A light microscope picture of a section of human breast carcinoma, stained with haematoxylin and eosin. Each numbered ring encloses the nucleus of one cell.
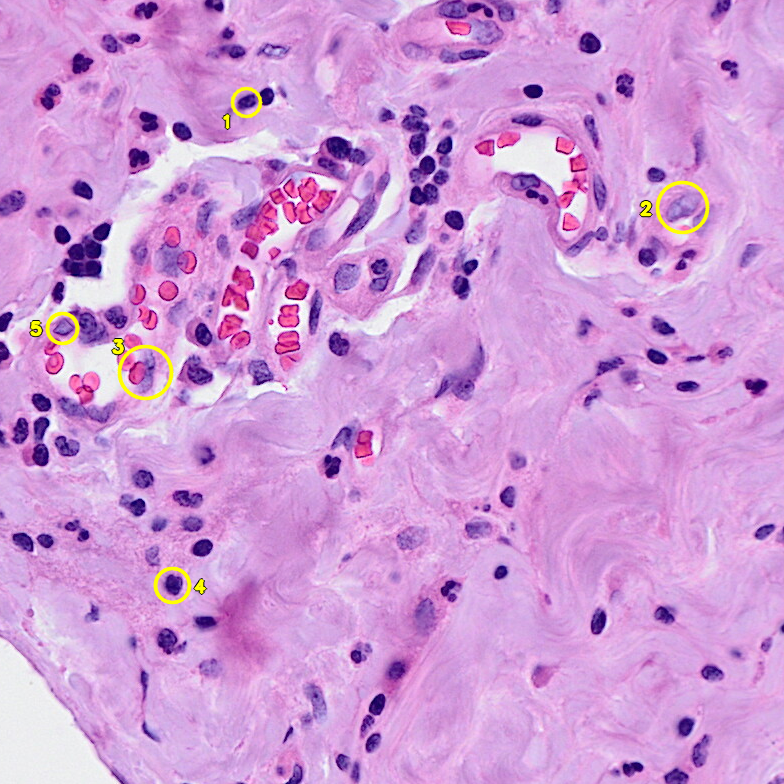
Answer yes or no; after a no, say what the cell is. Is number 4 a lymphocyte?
Yes.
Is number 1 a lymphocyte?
Yes.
